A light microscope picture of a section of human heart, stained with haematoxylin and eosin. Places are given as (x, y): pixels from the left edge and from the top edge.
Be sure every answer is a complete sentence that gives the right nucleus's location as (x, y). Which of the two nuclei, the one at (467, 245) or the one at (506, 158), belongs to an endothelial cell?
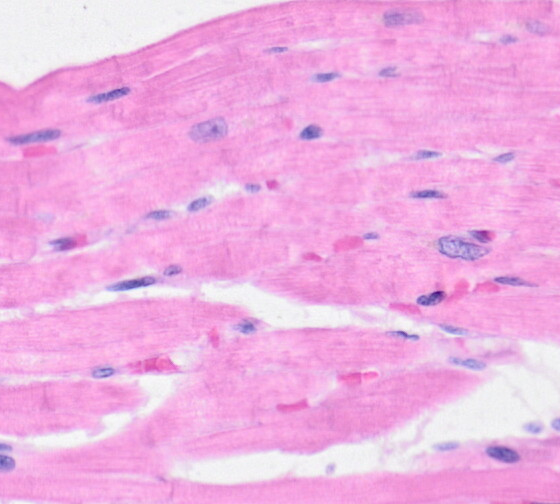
The nucleus at (506, 158), rather than the other one, belongs to an endothelial cell.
